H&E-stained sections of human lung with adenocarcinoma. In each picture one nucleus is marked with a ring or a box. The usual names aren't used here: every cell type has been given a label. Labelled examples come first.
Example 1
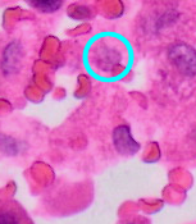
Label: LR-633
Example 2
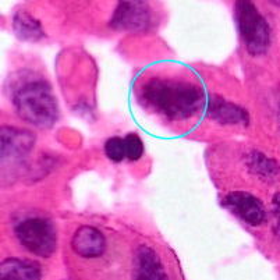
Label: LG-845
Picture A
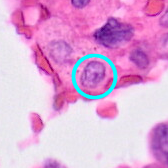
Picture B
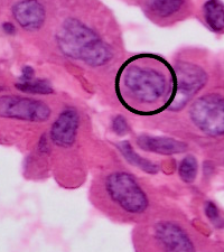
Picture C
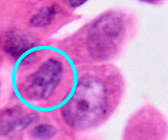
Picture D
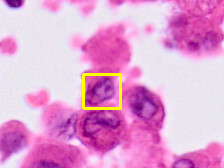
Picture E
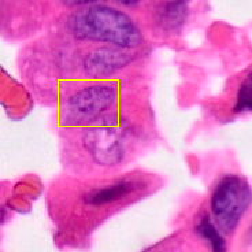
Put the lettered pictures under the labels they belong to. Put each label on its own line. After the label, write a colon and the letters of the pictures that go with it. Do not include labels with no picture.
LR-633: A, D
LG-845: B, C, E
